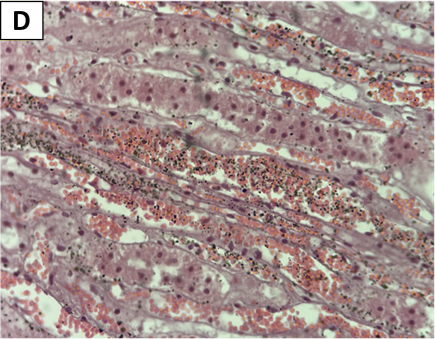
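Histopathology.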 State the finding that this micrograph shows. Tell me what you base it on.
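Long tubular lumina are packed with red blood cells. Pale pink tubular epithelium lines both sides of the red-cell-filled spaces.
Answer: hemorrhages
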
